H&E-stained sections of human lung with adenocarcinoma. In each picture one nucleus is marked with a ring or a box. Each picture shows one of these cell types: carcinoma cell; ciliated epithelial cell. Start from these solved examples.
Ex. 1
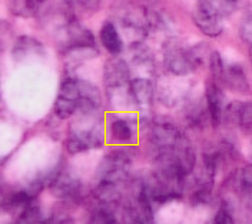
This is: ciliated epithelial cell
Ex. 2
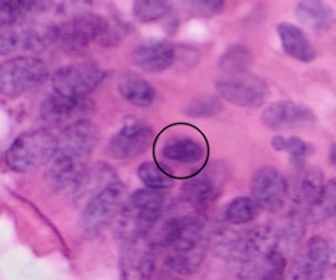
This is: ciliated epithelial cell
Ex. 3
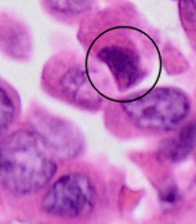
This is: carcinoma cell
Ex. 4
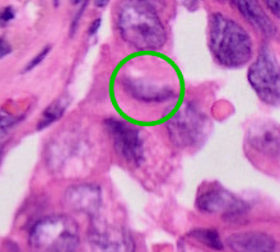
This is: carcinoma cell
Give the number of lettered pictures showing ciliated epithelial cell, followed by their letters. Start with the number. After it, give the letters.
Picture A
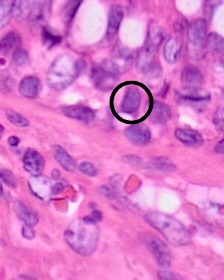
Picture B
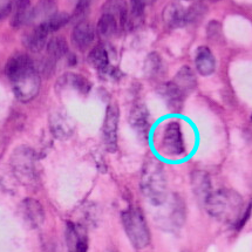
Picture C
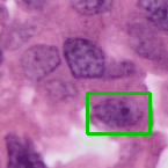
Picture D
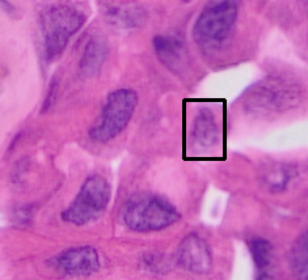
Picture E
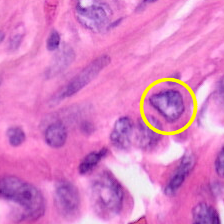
2, namely A, B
